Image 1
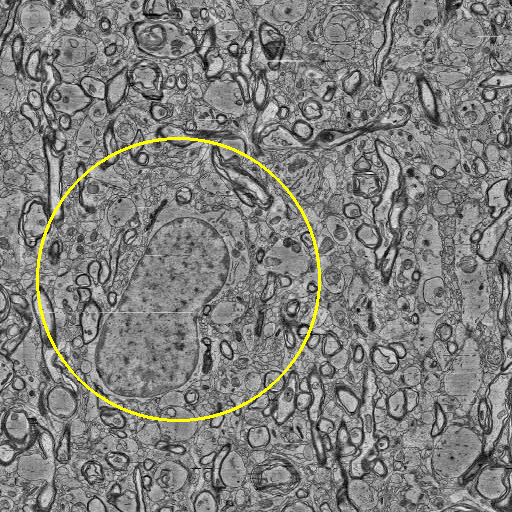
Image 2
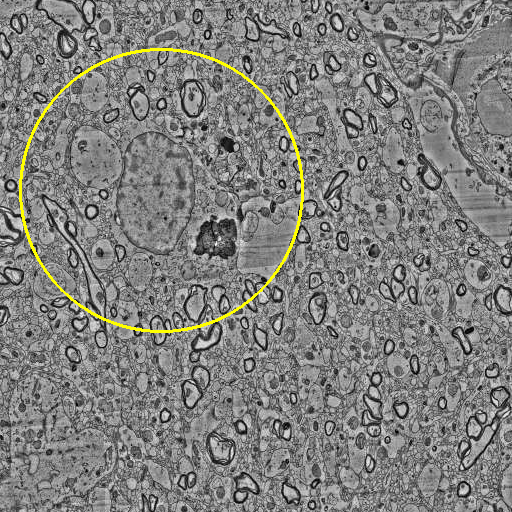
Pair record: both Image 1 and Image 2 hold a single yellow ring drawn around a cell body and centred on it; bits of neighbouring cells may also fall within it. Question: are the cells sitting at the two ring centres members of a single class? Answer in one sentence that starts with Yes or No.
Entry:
No, the ring-centre cells in Image 1 and Image 2 come from two classes.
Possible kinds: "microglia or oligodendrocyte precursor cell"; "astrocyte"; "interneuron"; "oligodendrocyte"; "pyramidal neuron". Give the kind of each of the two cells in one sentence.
The cell in the second picture is an oligodendrocyte, and that in the first is a microglial cell or oligodendrocyte precursor cell.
